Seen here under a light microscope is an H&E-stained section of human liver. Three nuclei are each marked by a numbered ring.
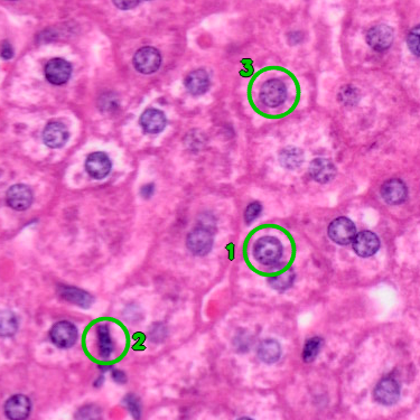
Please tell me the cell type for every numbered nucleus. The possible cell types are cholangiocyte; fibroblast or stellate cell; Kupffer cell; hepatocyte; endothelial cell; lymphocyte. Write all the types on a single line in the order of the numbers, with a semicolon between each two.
hepatocyte; fibroblast or stellate cell; hepatocyte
